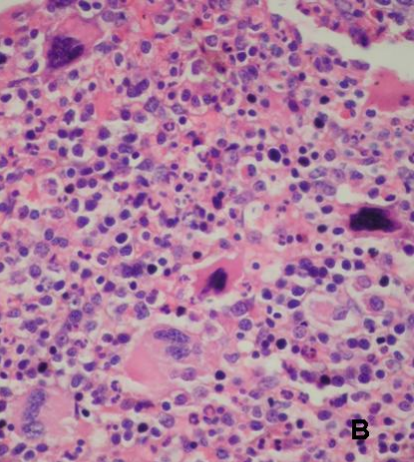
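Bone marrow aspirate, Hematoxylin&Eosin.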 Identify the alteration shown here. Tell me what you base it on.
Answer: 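Several giant cells with pink cytoplasm and dark, lobulated nuclei stand out among smaller cells. The background is densely packed with small marrow cells.
Megakaryocytic hyperplasia.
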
